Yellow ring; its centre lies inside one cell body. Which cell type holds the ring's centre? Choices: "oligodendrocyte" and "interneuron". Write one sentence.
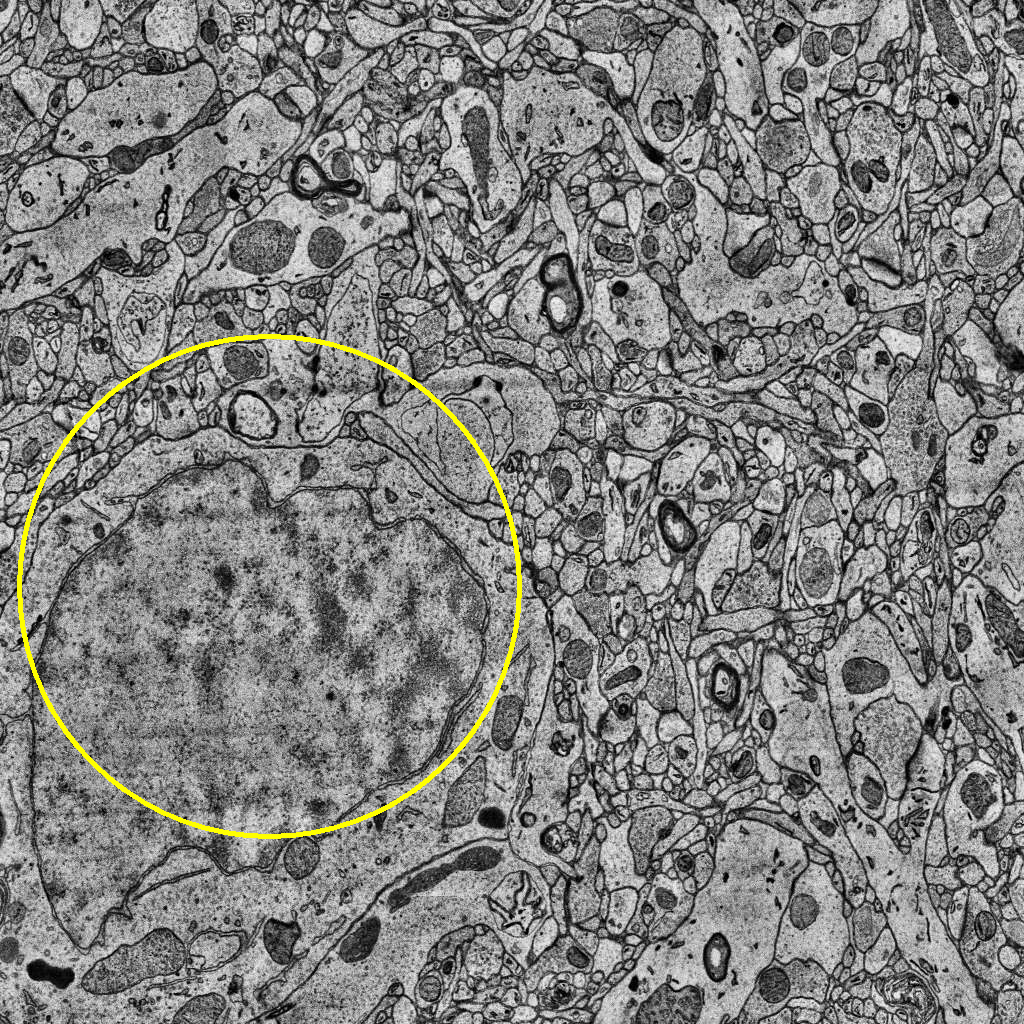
At the centre of the ring sits an interneuron.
